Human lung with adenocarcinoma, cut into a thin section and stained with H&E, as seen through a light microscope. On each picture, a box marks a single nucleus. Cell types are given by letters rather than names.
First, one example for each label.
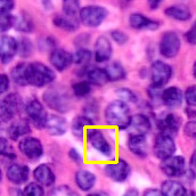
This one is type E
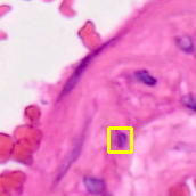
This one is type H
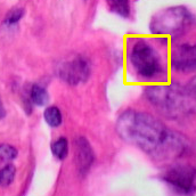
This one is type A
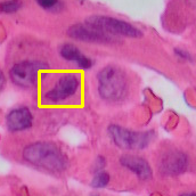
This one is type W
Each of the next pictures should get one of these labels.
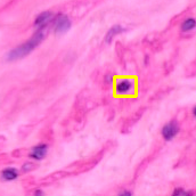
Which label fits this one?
type H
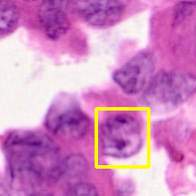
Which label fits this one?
type A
